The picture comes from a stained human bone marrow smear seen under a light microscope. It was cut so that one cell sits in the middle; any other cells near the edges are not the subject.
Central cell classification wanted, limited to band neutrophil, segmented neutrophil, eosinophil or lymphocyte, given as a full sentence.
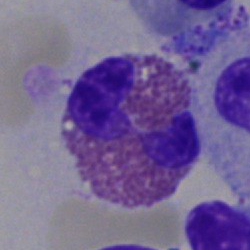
Located at the centre of the crop is an eosinophil.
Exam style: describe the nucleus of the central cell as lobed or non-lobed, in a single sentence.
The nucleus has been partitioned into two or more lobes.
